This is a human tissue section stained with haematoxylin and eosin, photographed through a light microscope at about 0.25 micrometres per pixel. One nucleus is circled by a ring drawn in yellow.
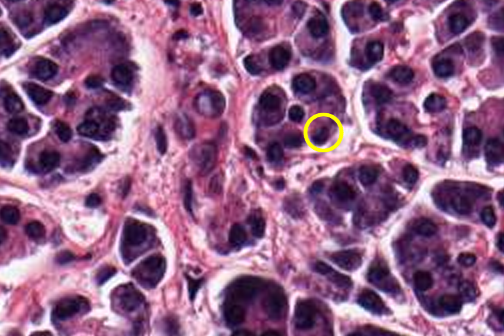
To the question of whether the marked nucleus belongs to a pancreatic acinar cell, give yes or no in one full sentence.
Yes, the marked nucleus lies within a pancreatic acinar cell.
